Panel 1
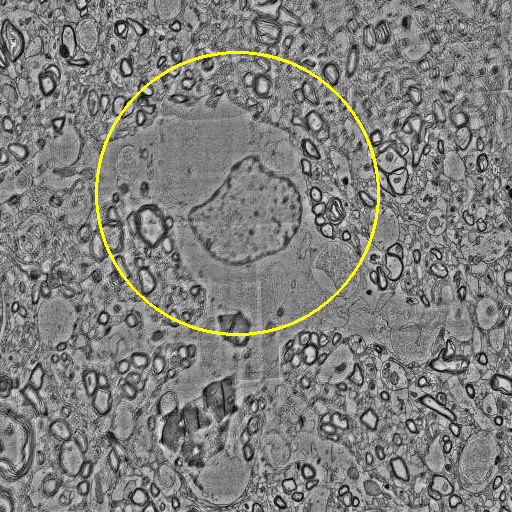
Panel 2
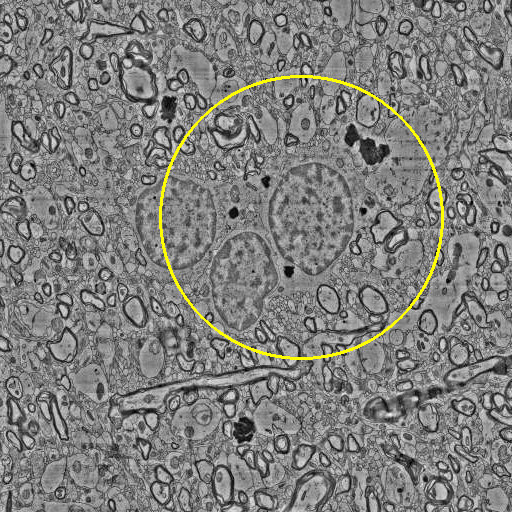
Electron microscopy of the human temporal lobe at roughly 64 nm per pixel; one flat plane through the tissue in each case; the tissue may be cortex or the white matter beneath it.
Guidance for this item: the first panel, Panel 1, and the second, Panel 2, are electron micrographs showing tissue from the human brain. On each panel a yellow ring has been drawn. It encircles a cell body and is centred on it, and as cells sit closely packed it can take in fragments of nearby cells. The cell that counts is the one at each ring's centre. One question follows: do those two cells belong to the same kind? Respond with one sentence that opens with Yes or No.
No, the cells at the ring centres in Panel 1 and Panel 2 are of two kinds.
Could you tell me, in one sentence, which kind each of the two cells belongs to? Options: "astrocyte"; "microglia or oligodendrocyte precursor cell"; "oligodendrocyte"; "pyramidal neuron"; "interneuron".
At the centre of the first ring sits an astrocyte, and at the centre of the second sits an oligodendrocyte.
